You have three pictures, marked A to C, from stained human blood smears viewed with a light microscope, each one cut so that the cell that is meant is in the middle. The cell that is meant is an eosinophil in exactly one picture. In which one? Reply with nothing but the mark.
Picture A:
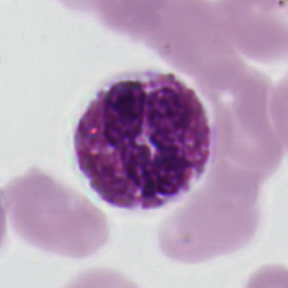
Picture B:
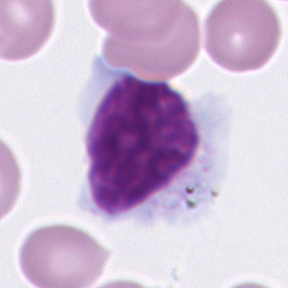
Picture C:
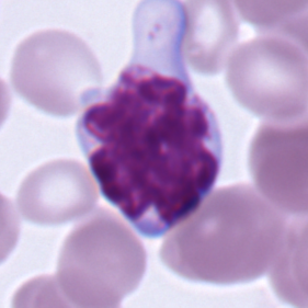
A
